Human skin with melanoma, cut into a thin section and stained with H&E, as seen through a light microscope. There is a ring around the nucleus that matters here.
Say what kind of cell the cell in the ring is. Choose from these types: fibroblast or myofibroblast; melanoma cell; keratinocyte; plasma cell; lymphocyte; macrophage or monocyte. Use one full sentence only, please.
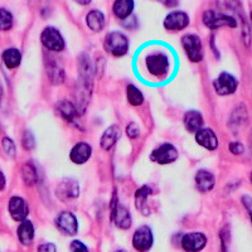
In this section, the cell in the ring is a lymphocyte.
